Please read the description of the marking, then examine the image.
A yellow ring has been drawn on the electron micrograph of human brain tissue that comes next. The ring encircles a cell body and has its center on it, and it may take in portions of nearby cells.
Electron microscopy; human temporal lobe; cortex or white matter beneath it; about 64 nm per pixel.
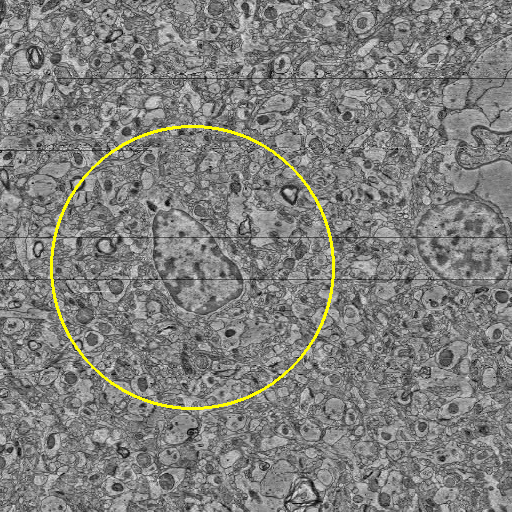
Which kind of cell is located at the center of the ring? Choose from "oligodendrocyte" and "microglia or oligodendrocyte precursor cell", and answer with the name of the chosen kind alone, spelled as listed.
microglia or oligodendrocyte precursor cell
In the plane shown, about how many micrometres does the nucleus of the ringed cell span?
Roughly 7 micrometres by 5 micrometres, in this plane.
